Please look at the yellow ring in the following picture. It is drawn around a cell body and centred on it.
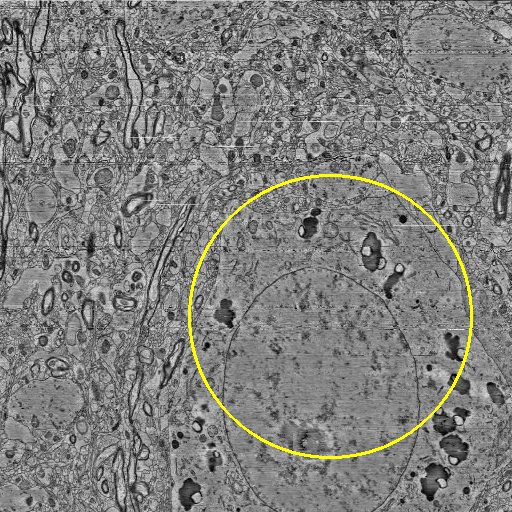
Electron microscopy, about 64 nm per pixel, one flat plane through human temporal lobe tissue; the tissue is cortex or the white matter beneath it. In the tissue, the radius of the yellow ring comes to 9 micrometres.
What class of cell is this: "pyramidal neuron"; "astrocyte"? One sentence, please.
The ring surrounds the cell body of a pyramidal neuron.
